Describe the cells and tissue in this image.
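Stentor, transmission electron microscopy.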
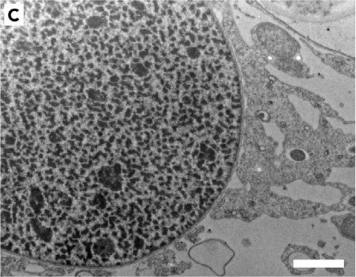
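This electron micrograph shows part of one node of the macronucleus of a ciliate, a huge round nucleus occupying most of the field. It is bounded by a thin nuclear envelope and its interior is crowded with many dark, irregular clumps of varying size spread fairly evenly, some larger ones likely being nucleoli. Outside the envelope at right lies cytoplasm with small membrane-bound organelles and vesicles.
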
